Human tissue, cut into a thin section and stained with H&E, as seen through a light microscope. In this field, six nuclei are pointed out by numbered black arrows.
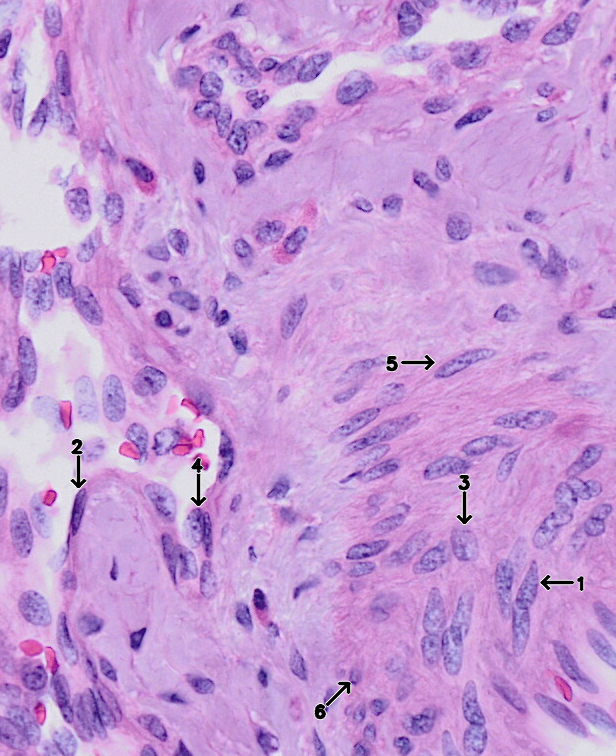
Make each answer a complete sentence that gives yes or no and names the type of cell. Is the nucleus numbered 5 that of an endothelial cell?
No, the cell given number 5 is a smooth muscle cell, not an endothelial cell.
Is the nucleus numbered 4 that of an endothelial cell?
Yes, cell number 4 is identified here as an endothelial cell.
